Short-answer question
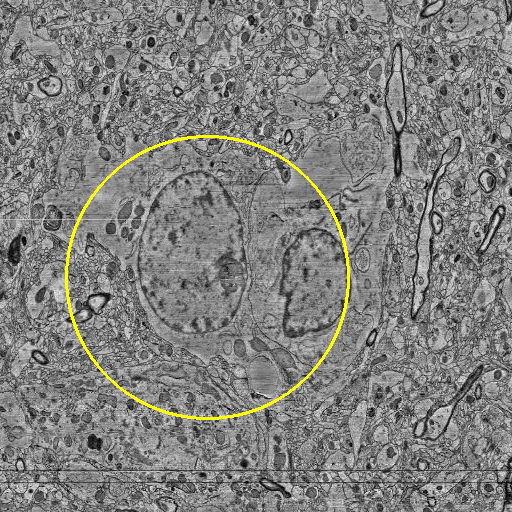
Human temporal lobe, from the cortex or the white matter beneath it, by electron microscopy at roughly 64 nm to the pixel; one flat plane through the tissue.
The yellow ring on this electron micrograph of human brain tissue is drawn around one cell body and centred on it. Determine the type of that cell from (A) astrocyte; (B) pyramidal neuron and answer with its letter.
A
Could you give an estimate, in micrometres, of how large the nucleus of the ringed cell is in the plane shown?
Roughly 11 by 7 micrometers, clearly longer than it is wide in this plane.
